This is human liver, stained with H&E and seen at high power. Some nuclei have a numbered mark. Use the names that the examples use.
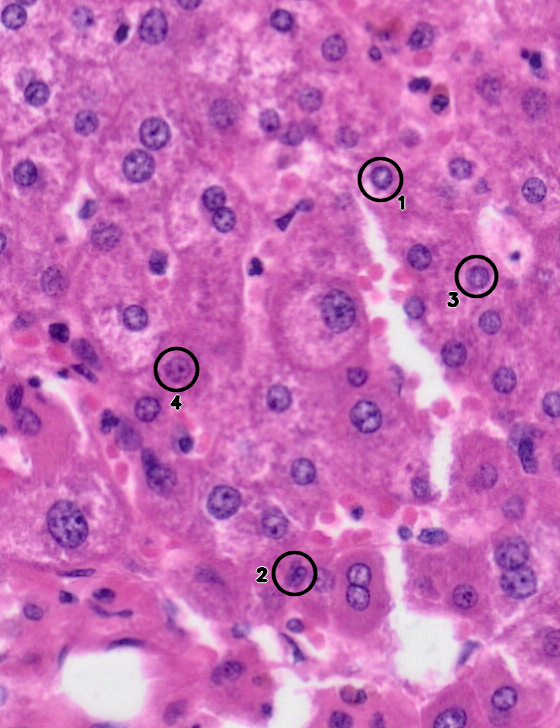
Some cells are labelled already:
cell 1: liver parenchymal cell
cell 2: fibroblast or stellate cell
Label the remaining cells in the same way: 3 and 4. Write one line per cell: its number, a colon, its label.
3: liver parenchymal cell
4: liver parenchymal cell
